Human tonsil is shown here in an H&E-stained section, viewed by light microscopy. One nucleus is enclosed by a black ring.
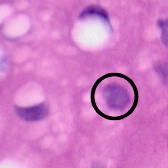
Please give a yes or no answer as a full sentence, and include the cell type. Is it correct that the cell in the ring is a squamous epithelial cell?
Yes, the cell in the ring is recognized as a squamous epithelial cell in this section.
